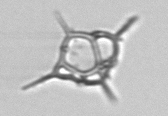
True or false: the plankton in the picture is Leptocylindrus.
False; it is a silicoflagellate.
